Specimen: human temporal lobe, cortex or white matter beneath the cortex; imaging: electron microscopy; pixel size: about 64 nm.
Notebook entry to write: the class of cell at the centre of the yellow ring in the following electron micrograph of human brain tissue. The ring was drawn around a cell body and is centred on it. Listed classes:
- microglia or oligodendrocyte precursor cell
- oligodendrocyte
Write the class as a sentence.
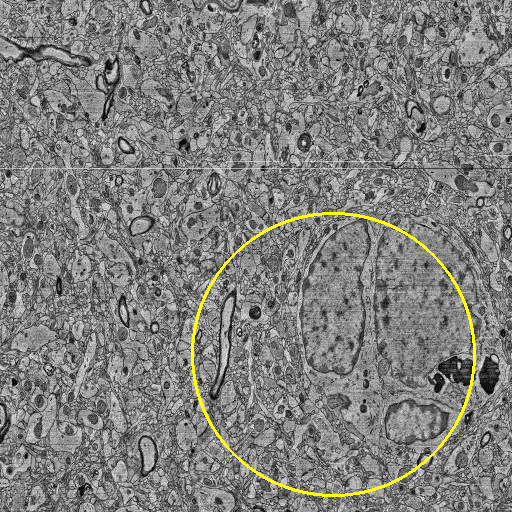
The yellow ring sits on a microglial cell or oligodendrocyte precursor cell.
